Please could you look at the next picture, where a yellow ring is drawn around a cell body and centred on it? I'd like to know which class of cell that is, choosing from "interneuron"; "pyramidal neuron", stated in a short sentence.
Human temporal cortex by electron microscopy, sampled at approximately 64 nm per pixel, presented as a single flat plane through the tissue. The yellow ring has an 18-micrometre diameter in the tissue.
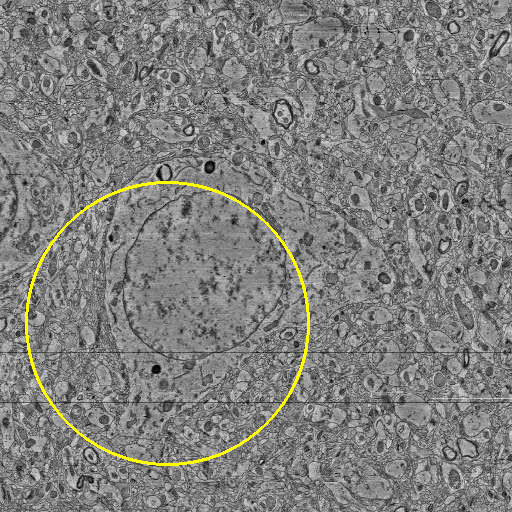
The ring's centre lies on a pyramidal neuron.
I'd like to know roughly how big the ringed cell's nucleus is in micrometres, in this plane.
Approximately 13 x 10 micrometres in this plane.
